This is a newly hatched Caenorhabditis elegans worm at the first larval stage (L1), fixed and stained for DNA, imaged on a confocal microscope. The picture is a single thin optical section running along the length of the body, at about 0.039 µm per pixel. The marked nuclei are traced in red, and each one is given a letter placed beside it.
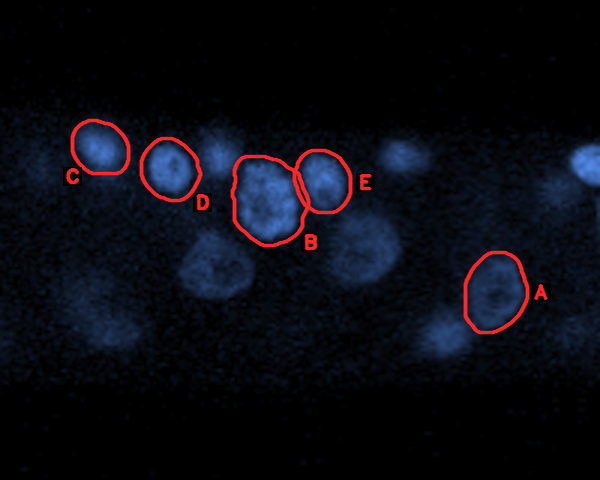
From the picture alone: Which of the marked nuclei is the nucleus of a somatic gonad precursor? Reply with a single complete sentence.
The one from a somatic gonad precursor is E.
